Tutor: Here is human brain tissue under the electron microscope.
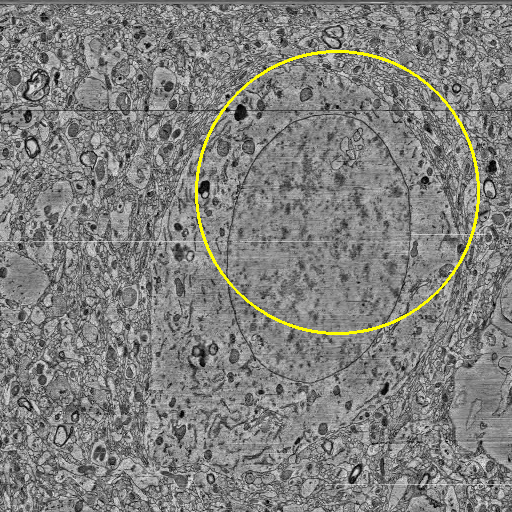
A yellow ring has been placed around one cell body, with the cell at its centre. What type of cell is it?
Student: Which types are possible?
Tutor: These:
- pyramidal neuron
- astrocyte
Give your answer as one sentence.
What the ring picks out here is a pyramidal neuron.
